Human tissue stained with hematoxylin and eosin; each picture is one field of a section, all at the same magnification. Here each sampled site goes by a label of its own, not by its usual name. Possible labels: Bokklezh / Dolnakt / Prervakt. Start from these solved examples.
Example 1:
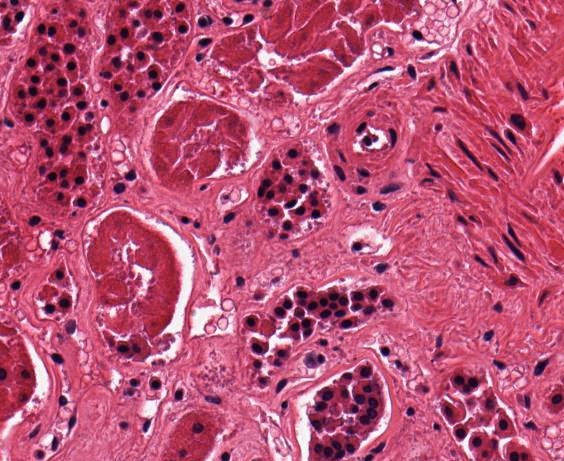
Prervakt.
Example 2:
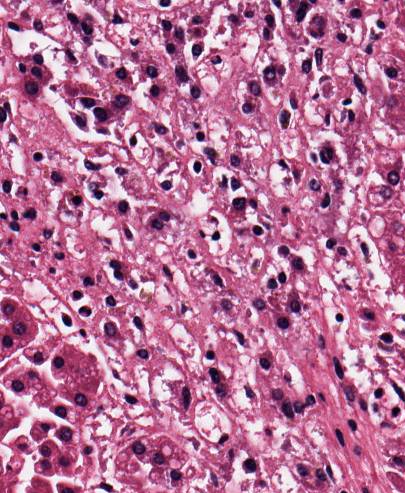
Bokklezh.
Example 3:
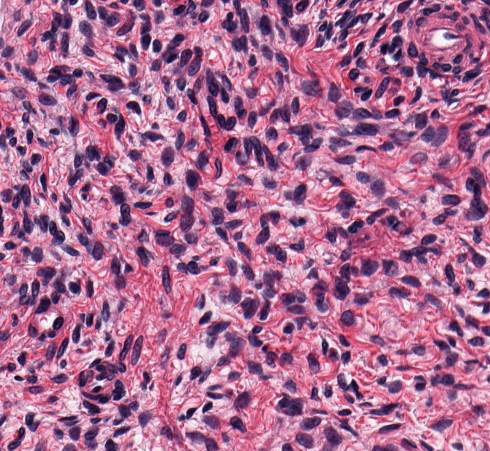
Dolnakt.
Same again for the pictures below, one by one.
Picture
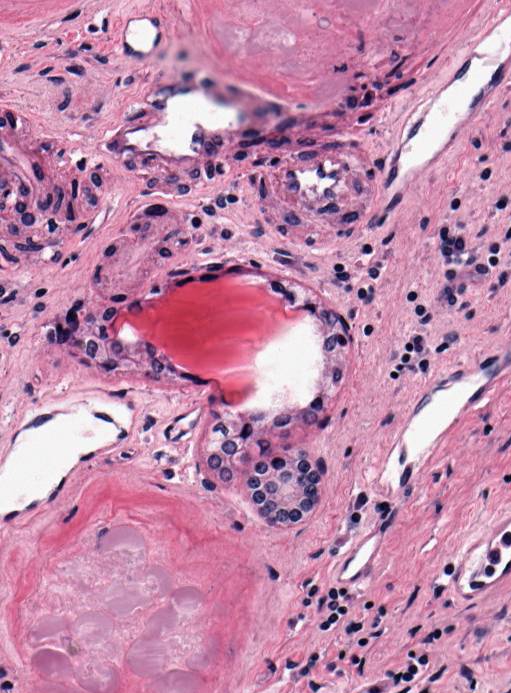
Prervakt.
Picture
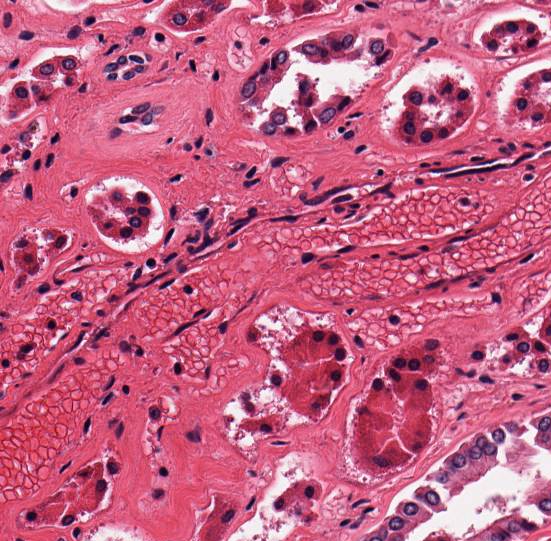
Prervakt.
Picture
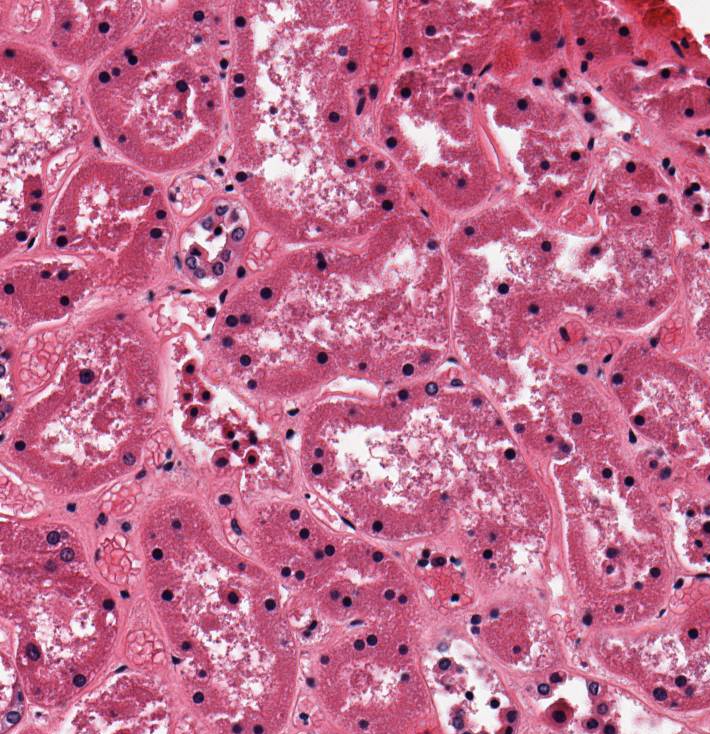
Prervakt.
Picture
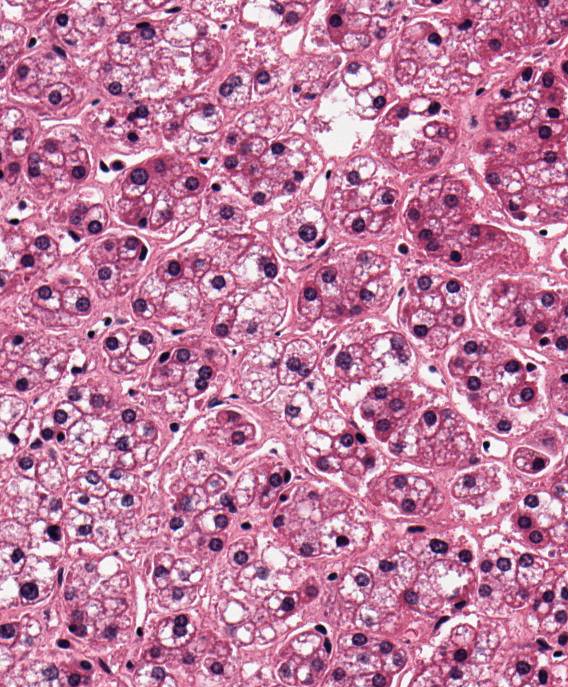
Bokklezh.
